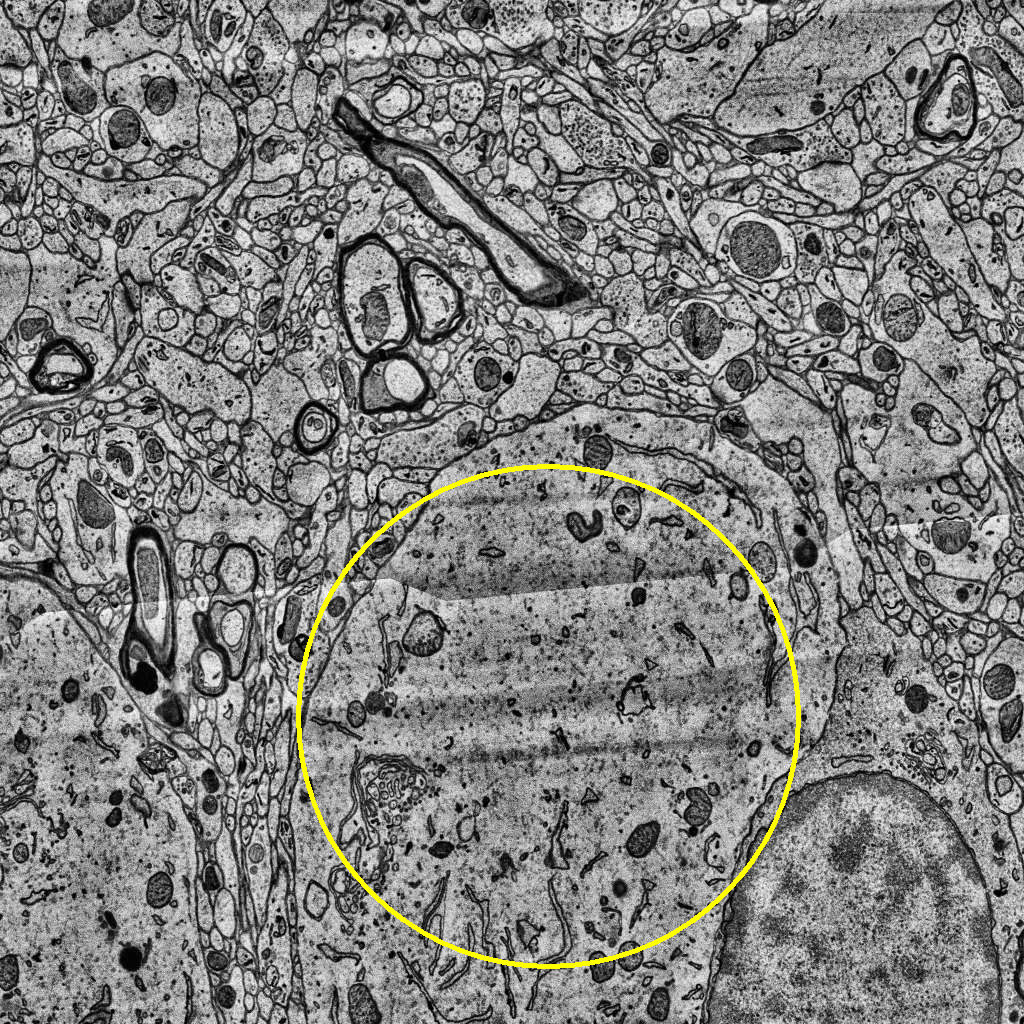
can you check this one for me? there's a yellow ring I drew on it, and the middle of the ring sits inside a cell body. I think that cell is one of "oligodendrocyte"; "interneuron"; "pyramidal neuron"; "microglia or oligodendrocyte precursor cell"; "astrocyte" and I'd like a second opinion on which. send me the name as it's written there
pyramidal neuron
